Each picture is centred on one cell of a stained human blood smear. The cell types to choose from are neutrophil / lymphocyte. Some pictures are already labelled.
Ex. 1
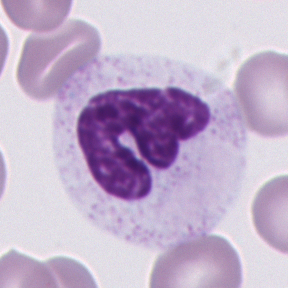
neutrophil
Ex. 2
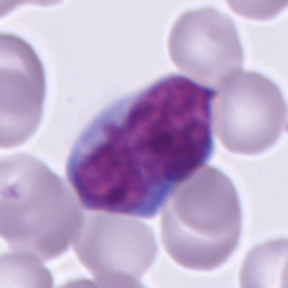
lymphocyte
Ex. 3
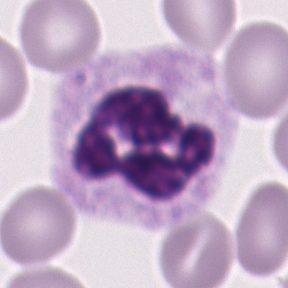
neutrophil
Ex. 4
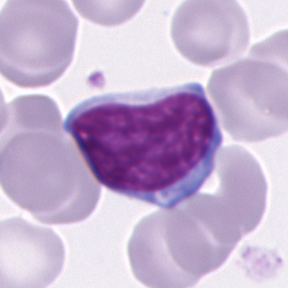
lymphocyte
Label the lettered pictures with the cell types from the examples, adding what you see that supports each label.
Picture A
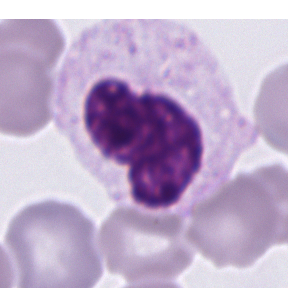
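neutrophil. Evidence: Abundant pale greyish-lilac cytoplasm surrounds the nucleus, widest above it.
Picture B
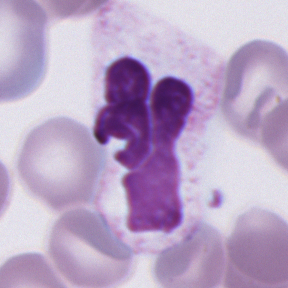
neutrophil. Evidence: The cytoplasm is plentiful and very pale.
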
